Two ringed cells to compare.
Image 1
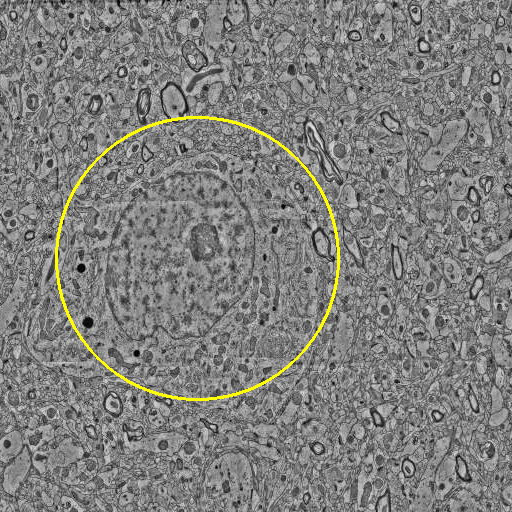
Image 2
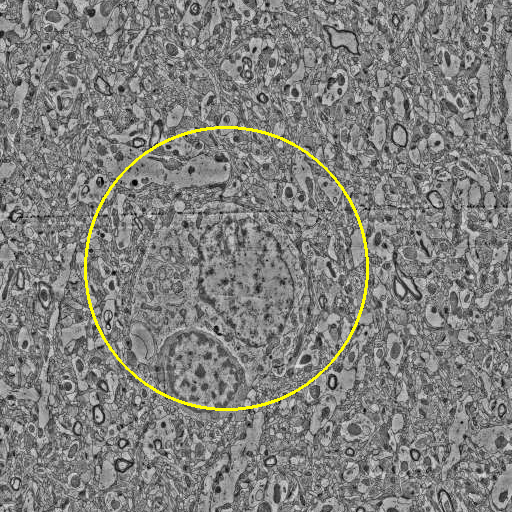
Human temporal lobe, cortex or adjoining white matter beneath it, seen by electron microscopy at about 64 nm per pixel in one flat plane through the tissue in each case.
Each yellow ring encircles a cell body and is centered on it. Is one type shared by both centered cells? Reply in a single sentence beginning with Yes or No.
Yes, a single type is shared by the two cells at the centers of the rings.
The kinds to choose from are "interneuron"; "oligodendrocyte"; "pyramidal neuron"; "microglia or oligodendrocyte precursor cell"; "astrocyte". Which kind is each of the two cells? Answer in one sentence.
Both rings mark an interneuron, one in each picture.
